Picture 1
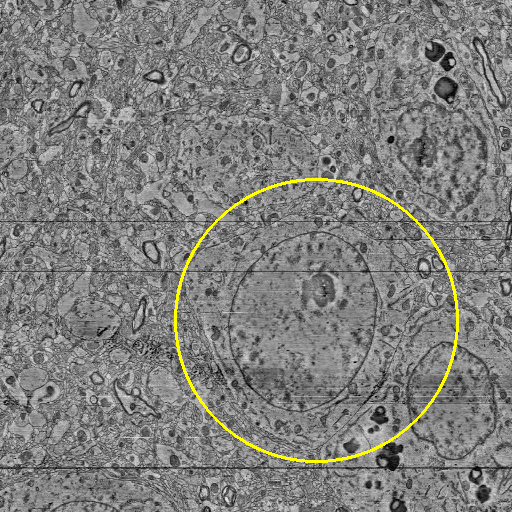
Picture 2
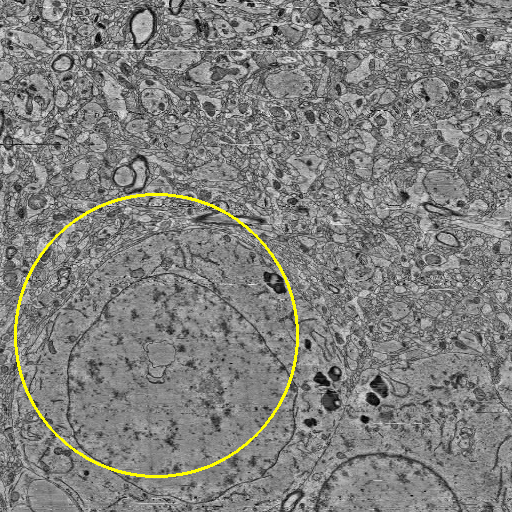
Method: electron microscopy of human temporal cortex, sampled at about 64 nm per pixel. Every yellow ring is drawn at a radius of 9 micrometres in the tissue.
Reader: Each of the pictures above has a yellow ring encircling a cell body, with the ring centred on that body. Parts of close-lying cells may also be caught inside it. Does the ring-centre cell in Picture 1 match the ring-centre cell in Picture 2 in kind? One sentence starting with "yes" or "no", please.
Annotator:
Yes, Picture 1 and Picture 2 show ring-centre cells of a single kind.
